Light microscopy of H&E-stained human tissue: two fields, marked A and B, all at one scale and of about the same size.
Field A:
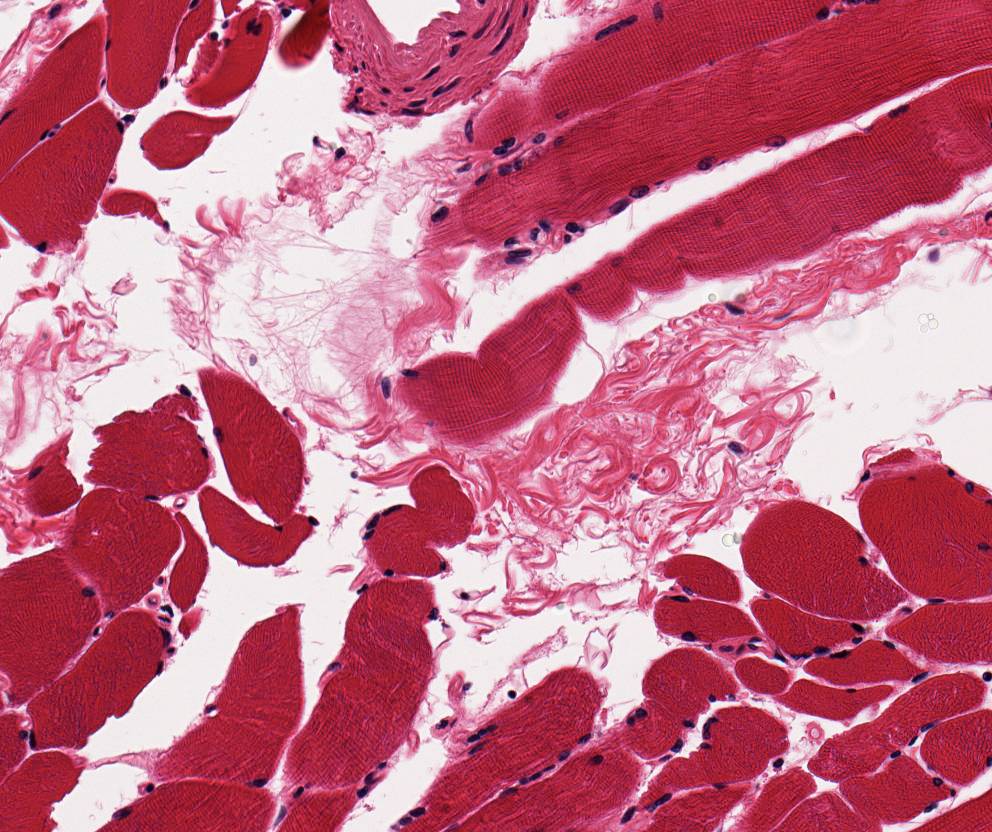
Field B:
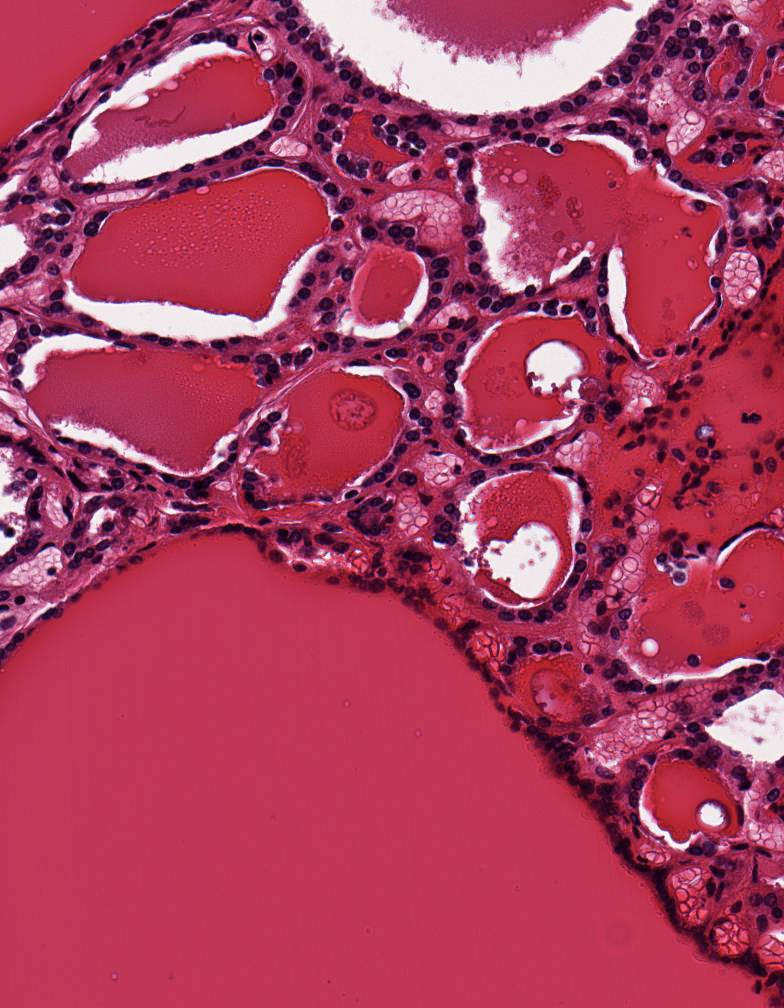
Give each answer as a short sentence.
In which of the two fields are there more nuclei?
There are more nuclei in field B.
